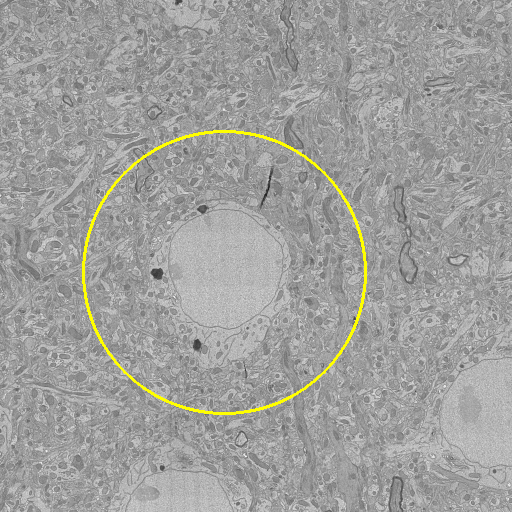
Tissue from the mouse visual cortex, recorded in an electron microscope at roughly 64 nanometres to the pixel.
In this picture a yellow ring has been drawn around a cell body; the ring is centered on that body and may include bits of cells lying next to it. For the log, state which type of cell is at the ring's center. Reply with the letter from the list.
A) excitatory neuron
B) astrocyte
A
